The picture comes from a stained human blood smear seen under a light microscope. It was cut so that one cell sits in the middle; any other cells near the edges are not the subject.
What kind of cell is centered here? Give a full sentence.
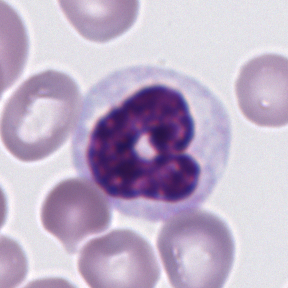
What sits at the centre of this crop is a band neutrophil.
